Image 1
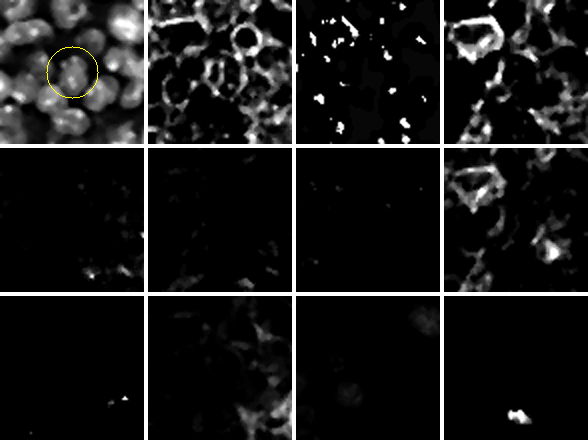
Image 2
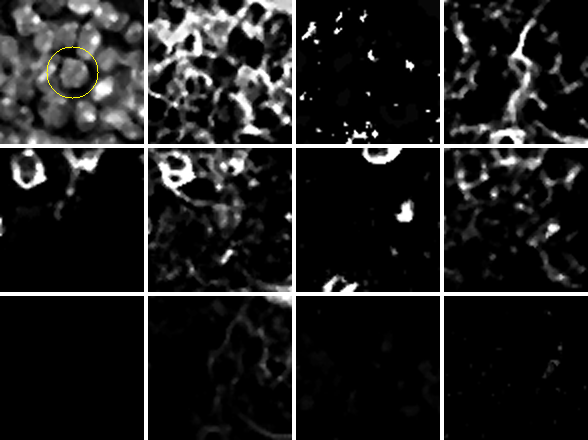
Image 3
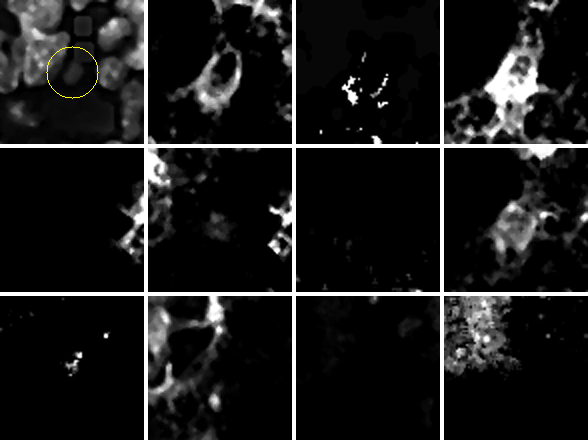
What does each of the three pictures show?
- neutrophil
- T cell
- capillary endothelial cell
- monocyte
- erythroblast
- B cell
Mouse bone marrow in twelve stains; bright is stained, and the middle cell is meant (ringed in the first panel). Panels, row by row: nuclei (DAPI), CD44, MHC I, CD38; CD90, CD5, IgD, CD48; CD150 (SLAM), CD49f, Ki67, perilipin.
Picture 1: neutrophil
Picture 2: capillary endothelial cell
Picture 3: monocyte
